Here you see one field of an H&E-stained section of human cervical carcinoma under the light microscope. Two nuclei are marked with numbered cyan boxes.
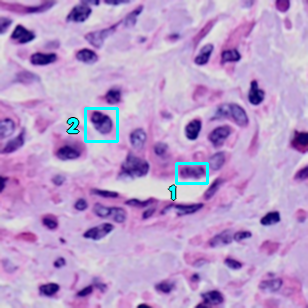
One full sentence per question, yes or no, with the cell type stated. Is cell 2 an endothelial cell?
No, the cell indicated by 2 is a lymphocyte instead of an endothelial cell.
